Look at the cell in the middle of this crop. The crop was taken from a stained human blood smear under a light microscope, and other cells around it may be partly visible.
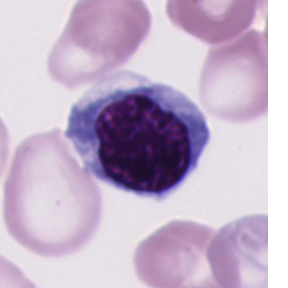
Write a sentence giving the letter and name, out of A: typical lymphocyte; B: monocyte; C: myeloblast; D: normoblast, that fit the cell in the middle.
Option D is the keyed answer: the cell in the middle is a normoblast.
